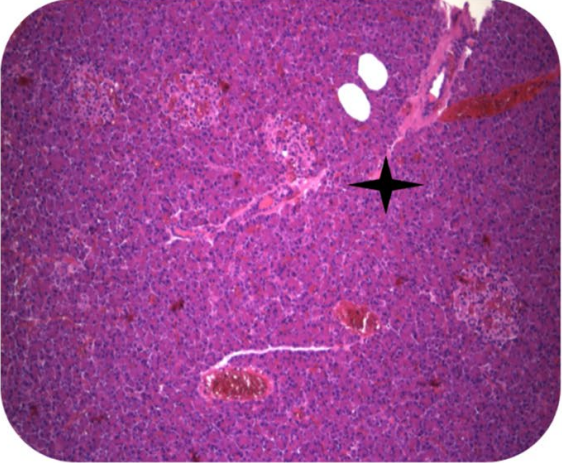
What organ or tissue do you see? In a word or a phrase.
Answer: Pancreatic parenchyma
